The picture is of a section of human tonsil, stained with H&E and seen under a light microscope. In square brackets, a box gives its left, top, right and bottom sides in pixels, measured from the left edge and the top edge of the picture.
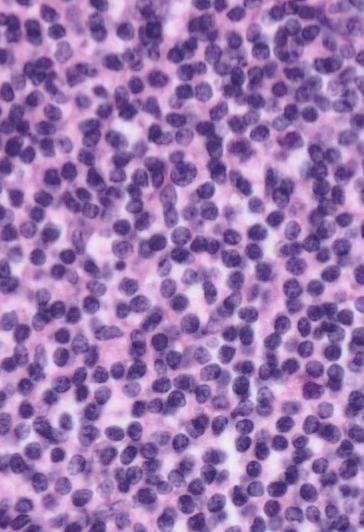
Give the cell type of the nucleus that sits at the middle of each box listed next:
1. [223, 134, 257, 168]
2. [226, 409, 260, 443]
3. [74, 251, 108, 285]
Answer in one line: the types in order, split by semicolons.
proliferating B cell; small lymphocyte; small lymphocyte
